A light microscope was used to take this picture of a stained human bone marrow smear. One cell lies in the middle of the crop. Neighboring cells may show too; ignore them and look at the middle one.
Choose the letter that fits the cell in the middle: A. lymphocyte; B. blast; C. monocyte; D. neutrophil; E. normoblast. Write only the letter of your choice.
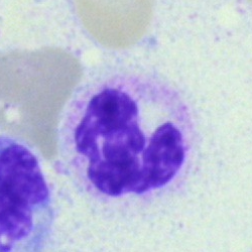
D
